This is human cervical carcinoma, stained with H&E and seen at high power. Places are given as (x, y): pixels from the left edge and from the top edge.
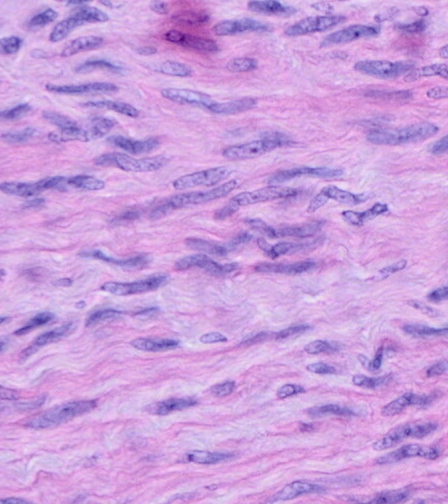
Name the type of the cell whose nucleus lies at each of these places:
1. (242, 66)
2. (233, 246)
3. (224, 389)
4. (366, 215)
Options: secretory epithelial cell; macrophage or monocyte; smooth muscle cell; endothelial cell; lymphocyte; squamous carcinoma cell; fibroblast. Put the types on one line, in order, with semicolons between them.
smooth muscle cell; smooth muscle cell; smooth muscle cell; fibroblast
